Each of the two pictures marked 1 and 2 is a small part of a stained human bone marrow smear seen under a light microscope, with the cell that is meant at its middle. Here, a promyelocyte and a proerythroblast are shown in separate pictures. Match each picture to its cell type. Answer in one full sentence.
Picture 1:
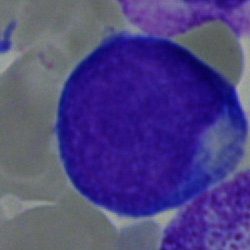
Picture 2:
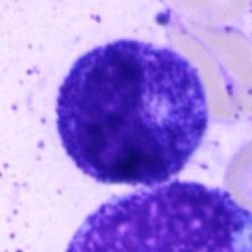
Picture 2 shows a promyelocyte, while picture 1 shows a proerythroblast.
